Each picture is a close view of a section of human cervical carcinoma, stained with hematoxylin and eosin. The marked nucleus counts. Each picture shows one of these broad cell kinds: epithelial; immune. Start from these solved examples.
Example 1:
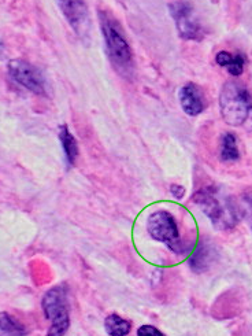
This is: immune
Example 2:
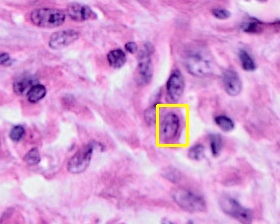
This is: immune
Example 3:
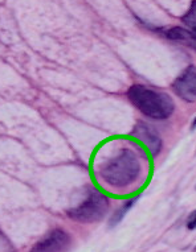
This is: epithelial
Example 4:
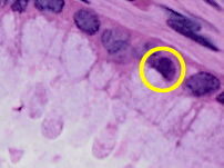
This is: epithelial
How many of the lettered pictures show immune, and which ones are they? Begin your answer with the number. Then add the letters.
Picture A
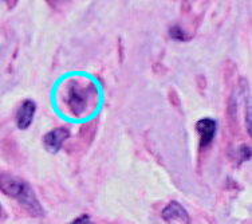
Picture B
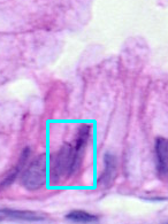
Count: 1 (A)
